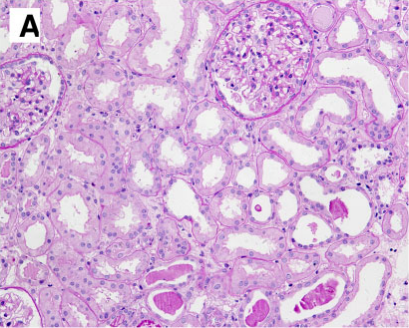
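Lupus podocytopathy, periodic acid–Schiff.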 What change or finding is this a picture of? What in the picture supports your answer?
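Acute tubulointerstitial lesions. Many tubules have dilated lumens lined by flattened epithelium. Several tubular lumens contain pink casts or debris. The two glomeruli look largely unremarkable.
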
